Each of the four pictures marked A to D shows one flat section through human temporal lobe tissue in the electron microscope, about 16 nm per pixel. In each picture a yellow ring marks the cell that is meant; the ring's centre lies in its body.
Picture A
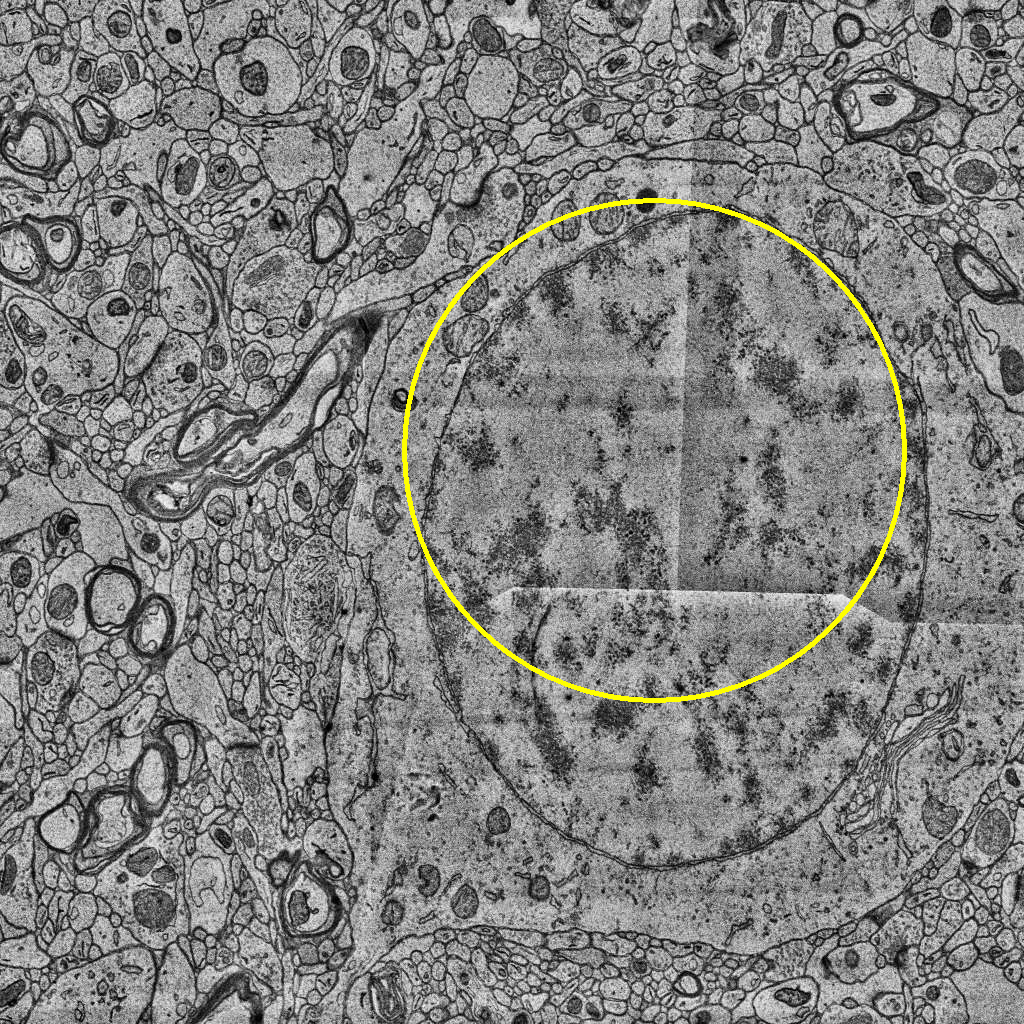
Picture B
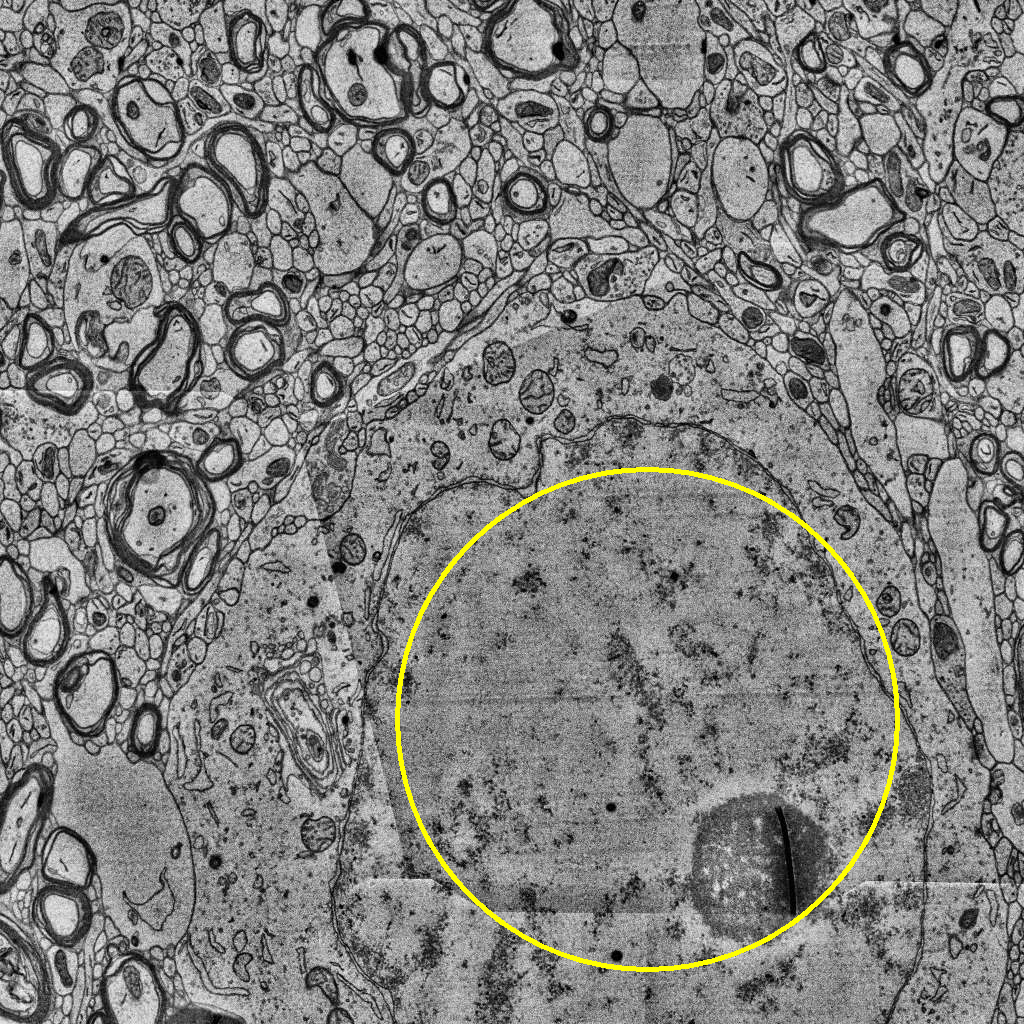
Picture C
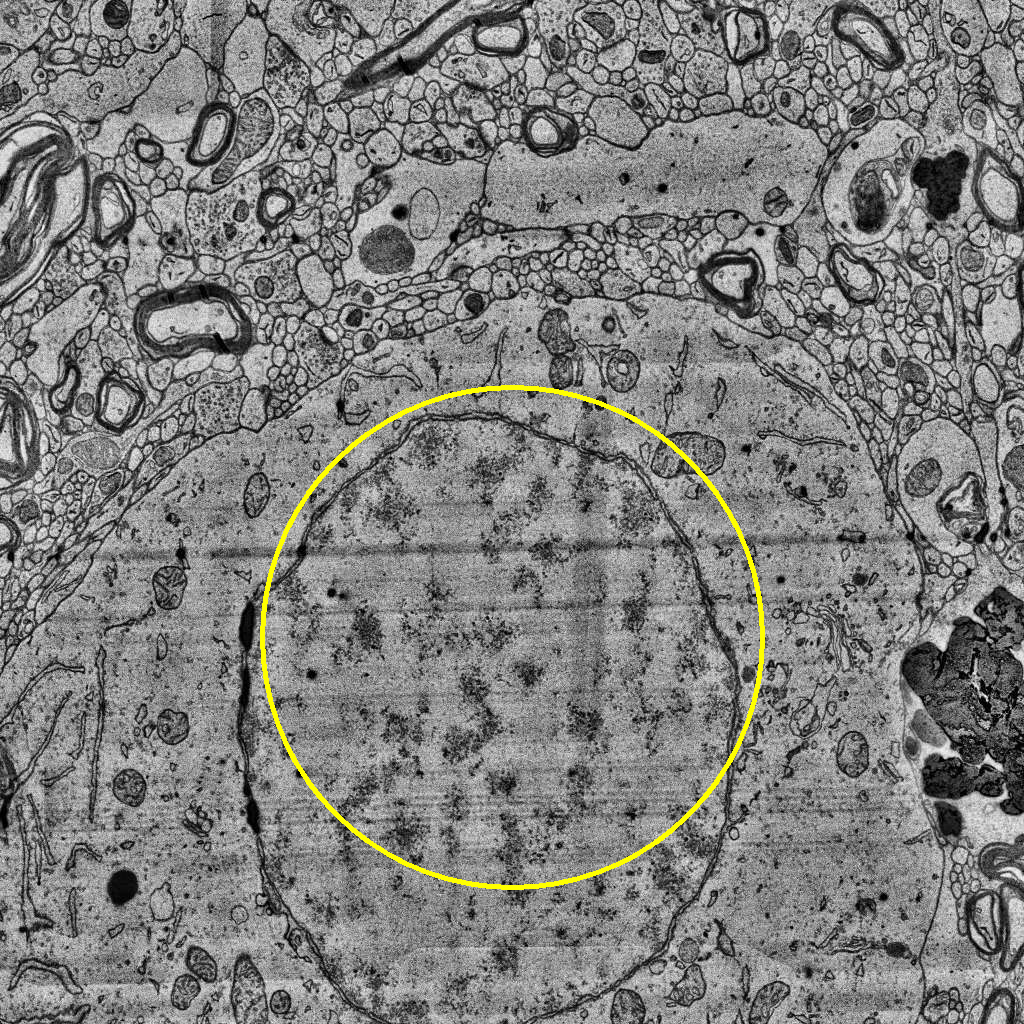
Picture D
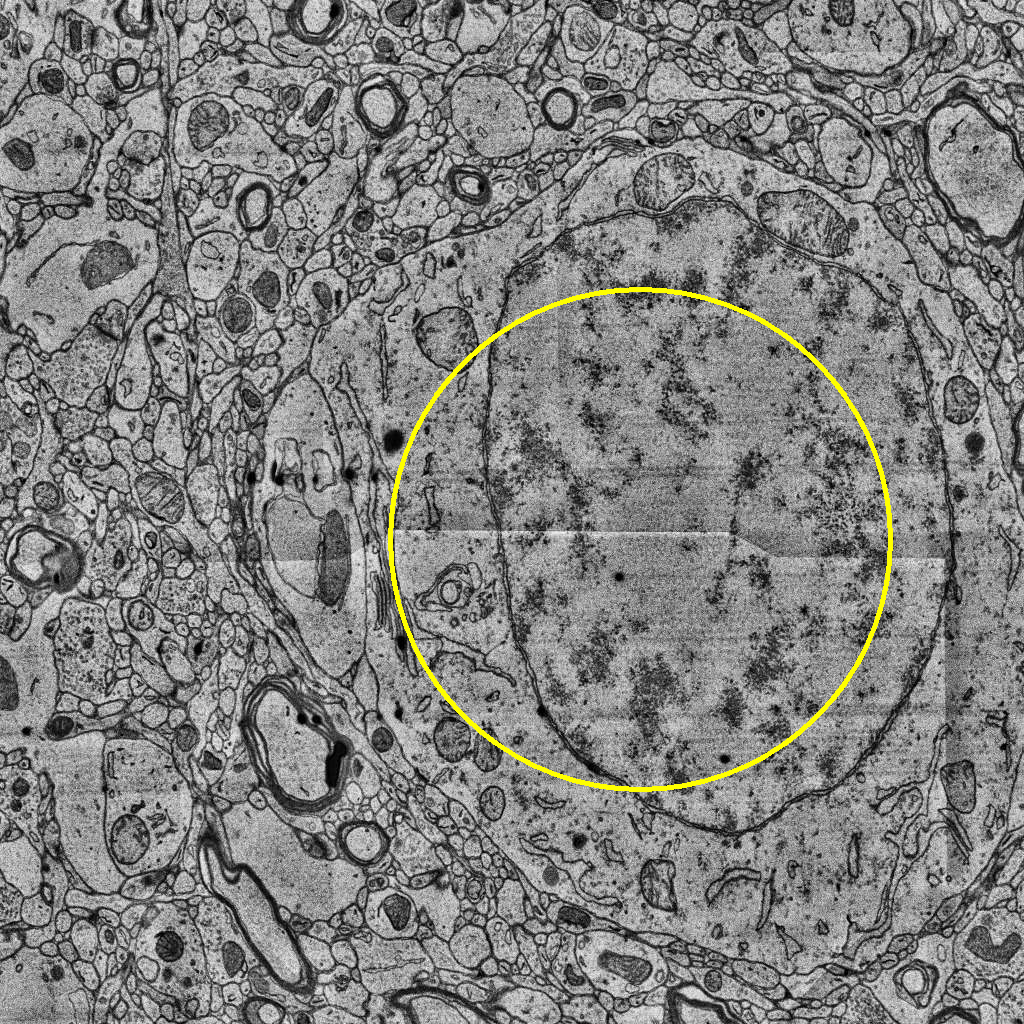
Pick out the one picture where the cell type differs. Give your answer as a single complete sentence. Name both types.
Picture B is the odd one out: it shows an interneuron, while the others show pyramidal neurons.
